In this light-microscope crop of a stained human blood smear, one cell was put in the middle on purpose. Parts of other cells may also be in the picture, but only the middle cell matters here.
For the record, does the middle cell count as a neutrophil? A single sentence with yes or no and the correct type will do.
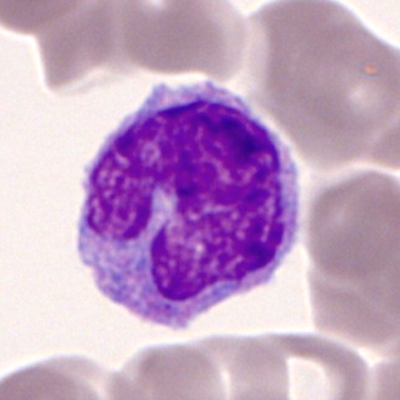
No, the cell placed at the center is a monocyte rather than a neutrophil.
